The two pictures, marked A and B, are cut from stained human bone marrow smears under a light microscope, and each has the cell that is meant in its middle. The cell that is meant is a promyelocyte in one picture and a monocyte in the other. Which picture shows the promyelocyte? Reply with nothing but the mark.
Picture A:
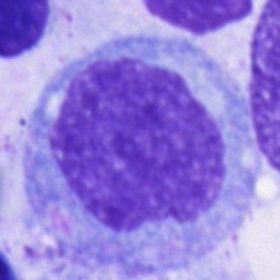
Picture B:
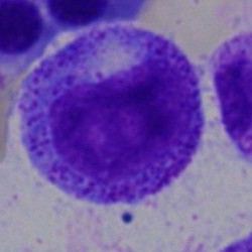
B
